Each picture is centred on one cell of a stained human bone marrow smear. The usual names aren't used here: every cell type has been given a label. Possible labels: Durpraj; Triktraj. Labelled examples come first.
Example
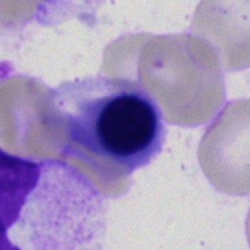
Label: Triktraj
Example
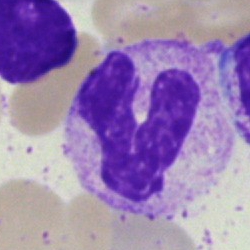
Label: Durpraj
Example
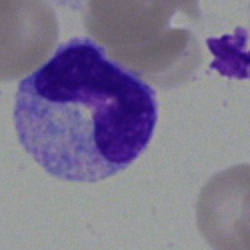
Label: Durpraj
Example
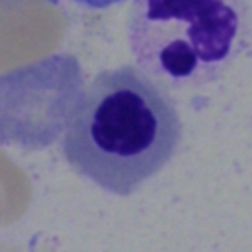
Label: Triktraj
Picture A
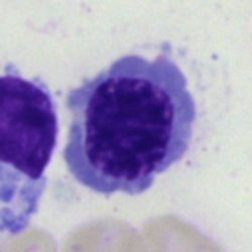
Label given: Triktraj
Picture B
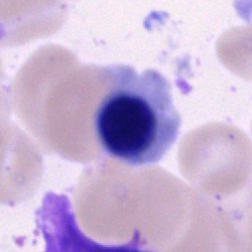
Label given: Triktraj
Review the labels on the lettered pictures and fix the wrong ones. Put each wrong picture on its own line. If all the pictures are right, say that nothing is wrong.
Every label is right.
